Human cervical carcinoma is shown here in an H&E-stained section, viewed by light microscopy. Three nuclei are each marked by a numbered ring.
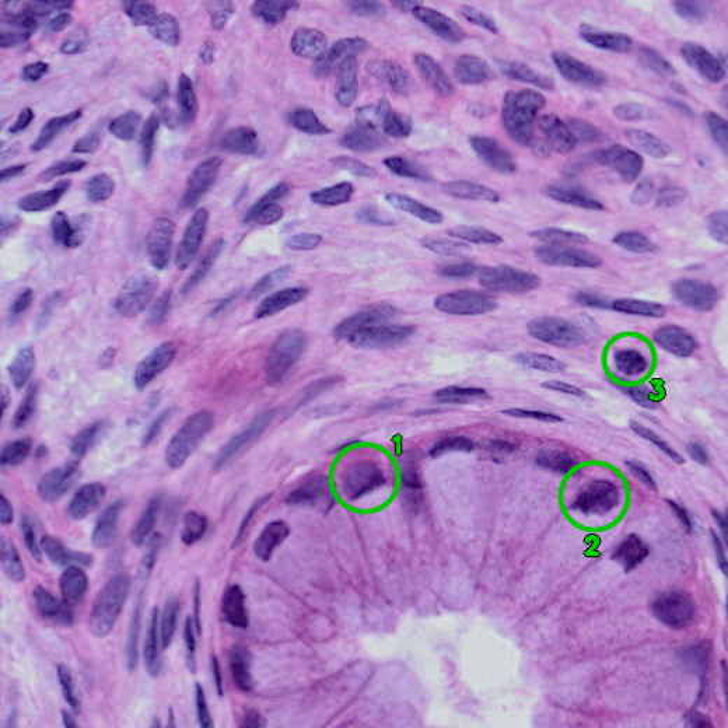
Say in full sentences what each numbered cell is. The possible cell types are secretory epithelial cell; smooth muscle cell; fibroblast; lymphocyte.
Cell 1 is a secretory epithelial cell, cell 2 is a secretory epithelial cell and cell 3 is a lymphocyte.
